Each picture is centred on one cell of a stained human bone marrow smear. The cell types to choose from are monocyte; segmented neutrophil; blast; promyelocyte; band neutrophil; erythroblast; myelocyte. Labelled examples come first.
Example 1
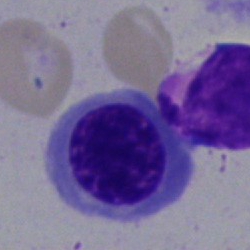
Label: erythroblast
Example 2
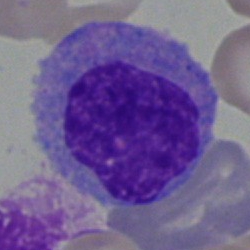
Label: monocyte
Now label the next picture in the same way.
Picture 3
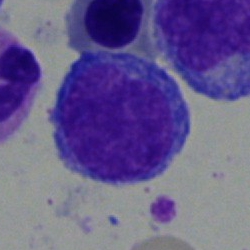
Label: blast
